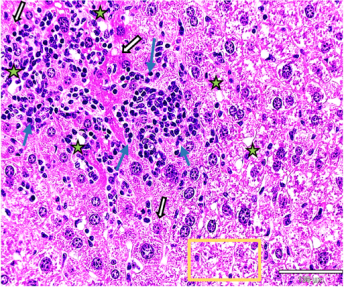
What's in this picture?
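Liver parenchyma with hepatocytes disrupted by dense clusters of small inflammatory cells with dark, round nuclei. The hepatocytes around these clusters show pale, vacuolated cytoplasm, and some are enlarged with cleared cytoplasm. Some areas are pink with lost cell outlines. The regular arrangement of hepatocyte cords is disturbed.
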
